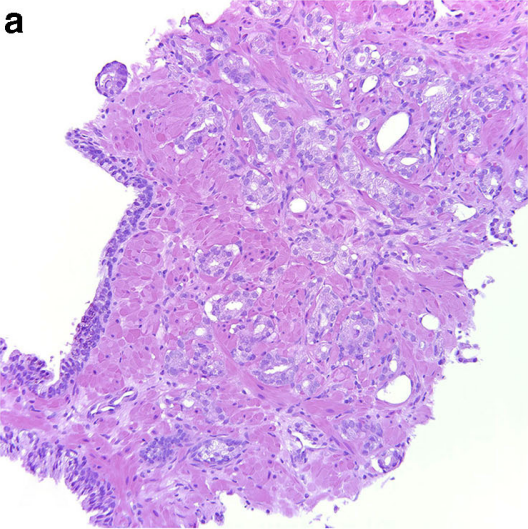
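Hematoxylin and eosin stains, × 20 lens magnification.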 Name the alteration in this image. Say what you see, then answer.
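Cancer. Many small, crowded glands lie scattered among pink smooth-muscle stroma. The small glands are lined by a single layer of cells with pale cytoplasm and round nuclei. A benign-looking gland lined by darker, layered epithelium runs along the left edge, unlike the small glands.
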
